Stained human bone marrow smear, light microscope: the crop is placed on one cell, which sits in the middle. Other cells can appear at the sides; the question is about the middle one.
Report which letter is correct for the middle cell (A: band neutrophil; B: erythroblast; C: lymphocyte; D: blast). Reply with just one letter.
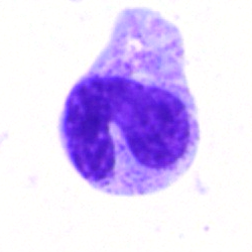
A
